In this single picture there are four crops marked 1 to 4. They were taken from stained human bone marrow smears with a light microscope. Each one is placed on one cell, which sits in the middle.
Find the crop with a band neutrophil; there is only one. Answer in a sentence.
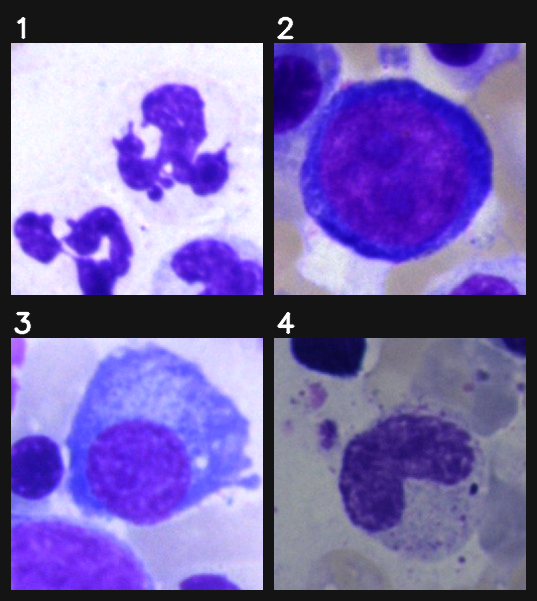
Crop 4 is the correct crop, and it shows a band neutrophil.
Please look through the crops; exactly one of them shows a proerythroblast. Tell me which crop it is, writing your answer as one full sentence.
Crop 2 is the one in this set that shows a proerythroblast.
